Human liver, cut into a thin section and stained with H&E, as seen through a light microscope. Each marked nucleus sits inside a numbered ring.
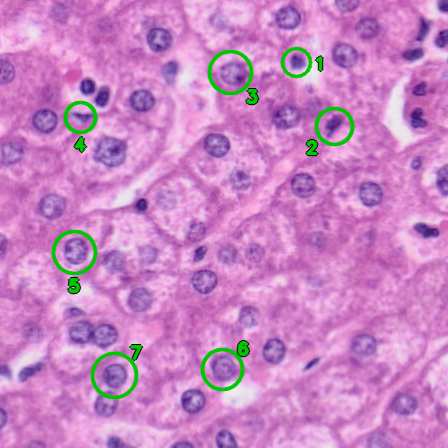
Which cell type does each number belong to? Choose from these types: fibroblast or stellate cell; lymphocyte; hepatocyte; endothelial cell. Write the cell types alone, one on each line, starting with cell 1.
lymphocyte
fibroblast or stellate cell
hepatocyte
endothelial cell
hepatocyte
hepatocyte
hepatocyte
